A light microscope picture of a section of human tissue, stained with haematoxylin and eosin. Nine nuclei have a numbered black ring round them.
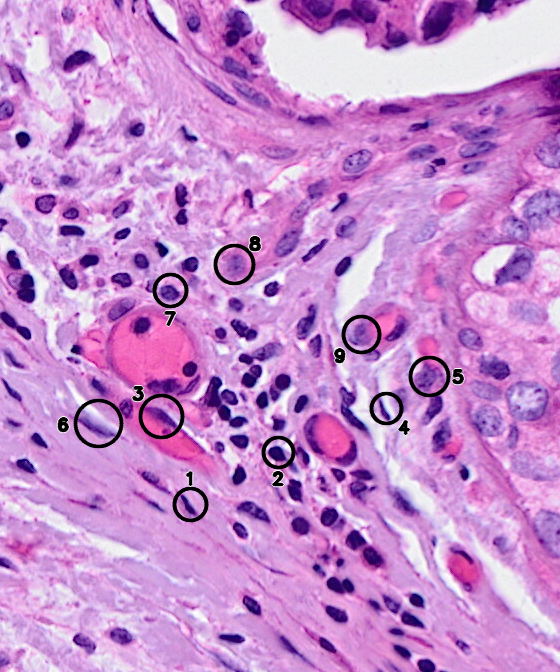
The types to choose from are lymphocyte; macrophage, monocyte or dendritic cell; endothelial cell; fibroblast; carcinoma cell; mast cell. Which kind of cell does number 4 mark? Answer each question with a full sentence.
Cell 4 of the marked set is a fibroblast.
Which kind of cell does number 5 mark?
Corresponding to an endothelial cell is the cell labelled 5.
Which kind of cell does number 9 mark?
Heads up, the cell numbered 9 is an endothelial cell.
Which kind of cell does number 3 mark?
Cell 3 is classified as an endothelial cell.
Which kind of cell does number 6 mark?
The cell tagged with 6 in this tissue section is a fibroblast.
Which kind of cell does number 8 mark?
The nucleus labelled 8 belongs to an endothelial cell.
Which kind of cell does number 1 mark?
The cell carrying label 1 is identified as a fibroblast.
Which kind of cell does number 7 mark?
The cell to which the number 7 is assigned is a lymphocyte.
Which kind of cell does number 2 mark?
The cell tagged with 2 in this tissue section is a lymphocyte.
